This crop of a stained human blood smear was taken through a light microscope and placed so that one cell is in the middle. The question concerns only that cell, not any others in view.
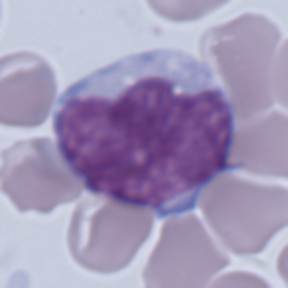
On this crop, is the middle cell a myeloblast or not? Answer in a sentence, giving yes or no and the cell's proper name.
Yes, at the centre of the crop lies a myeloblast.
